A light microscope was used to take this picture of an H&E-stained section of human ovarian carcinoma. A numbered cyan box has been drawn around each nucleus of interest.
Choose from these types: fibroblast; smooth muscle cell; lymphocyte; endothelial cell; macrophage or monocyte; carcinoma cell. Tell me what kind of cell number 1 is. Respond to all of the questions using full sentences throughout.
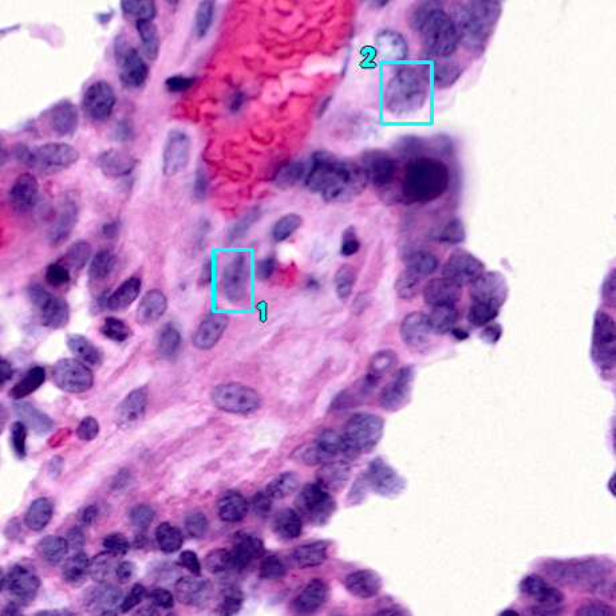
Identified by the number 1, the cell is a fibroblast.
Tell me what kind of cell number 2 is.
Heads up, the cell numbered 2 is a carcinoma cell.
